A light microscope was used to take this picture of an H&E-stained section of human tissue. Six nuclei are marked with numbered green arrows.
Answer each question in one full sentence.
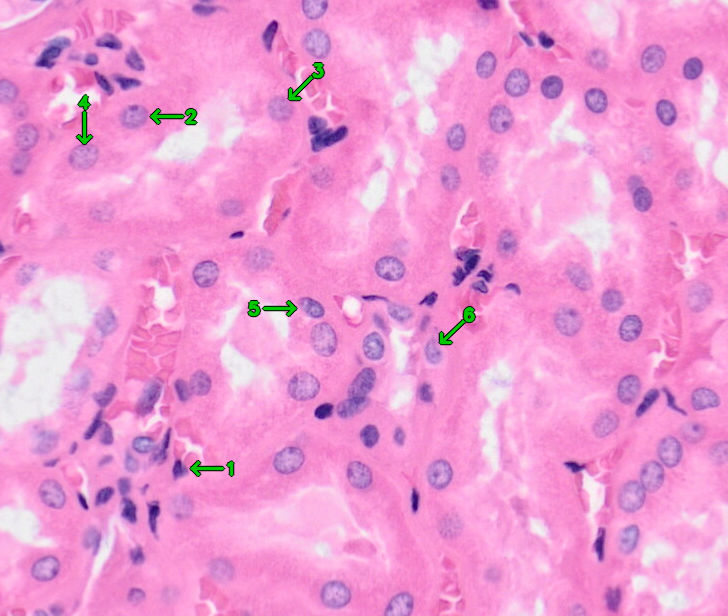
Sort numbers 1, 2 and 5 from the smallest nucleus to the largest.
Smallest first, the nuclei run 1, 5, 2.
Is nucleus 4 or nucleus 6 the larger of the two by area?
At about 1.5 times the area of nucleus 6, nucleus 4 is the larger of the two.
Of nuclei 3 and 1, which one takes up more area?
Nucleus 3 is the larger one, covering about 2 times the area of nucleus 1.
